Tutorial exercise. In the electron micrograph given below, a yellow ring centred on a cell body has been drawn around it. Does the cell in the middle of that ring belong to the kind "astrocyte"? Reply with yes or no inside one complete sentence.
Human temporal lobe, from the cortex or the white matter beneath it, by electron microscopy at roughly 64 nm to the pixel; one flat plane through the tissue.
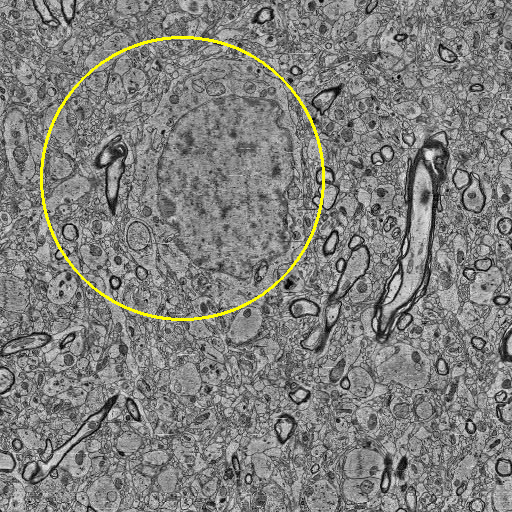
No, the cell at the centre of the ring in the picture is of a different kind.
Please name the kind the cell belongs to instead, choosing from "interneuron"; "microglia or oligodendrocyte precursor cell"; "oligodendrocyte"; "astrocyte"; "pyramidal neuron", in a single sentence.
The cell that the ring is centred on is an interneuron.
